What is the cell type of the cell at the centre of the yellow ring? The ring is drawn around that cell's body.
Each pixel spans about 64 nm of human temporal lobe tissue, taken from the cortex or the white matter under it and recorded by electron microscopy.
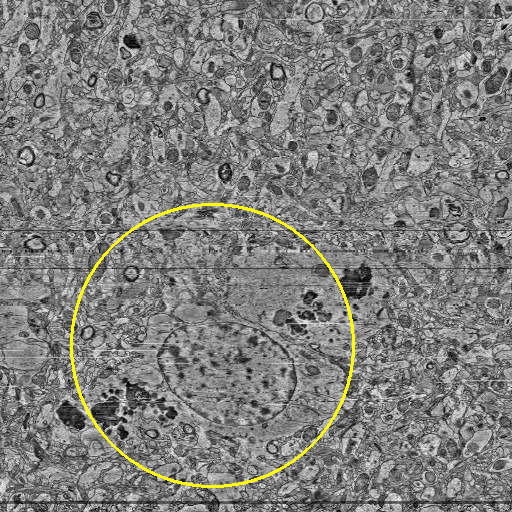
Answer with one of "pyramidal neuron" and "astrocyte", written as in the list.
astrocyte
